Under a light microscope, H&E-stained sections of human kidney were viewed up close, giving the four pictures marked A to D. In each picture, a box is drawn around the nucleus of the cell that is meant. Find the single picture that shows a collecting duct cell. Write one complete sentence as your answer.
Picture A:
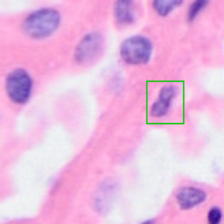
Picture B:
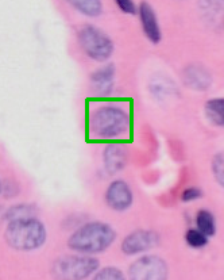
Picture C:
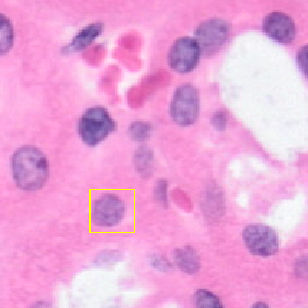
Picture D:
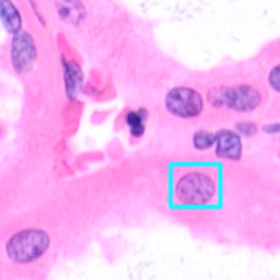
Picture B is the one that shows the collecting duct cell.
